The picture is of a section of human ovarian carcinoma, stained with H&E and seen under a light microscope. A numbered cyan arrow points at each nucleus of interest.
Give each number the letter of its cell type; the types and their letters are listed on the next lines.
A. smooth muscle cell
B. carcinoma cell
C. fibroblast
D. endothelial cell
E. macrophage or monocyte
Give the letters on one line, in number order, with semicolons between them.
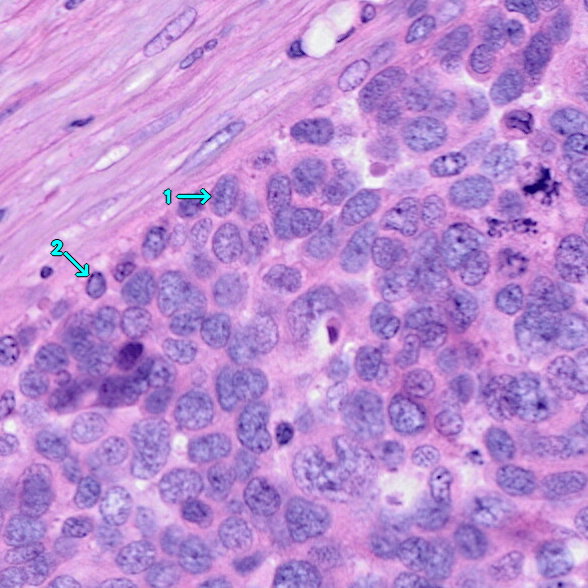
B; E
